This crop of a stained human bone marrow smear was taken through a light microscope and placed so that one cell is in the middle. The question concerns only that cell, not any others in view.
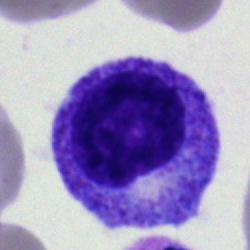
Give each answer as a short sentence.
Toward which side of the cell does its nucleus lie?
Toward the upper left of the cell lies its nucleus.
